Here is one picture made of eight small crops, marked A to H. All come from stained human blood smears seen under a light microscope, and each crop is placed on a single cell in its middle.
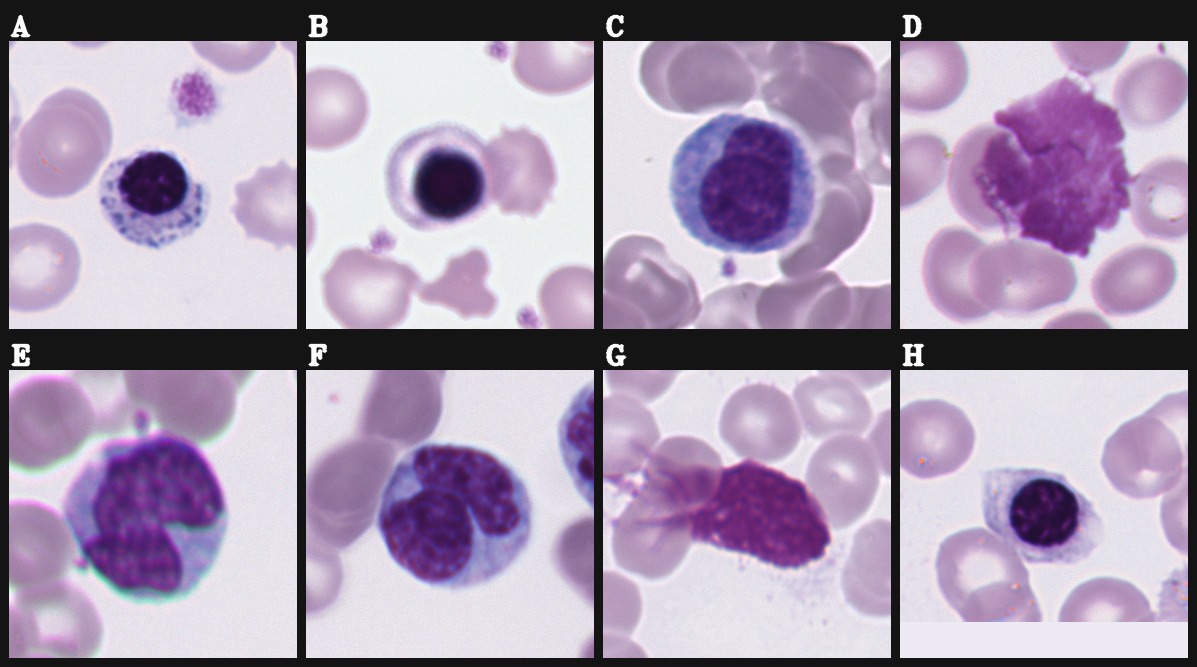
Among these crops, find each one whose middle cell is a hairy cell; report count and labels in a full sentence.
As hairy cells are not shown in any crop, the count is zero.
